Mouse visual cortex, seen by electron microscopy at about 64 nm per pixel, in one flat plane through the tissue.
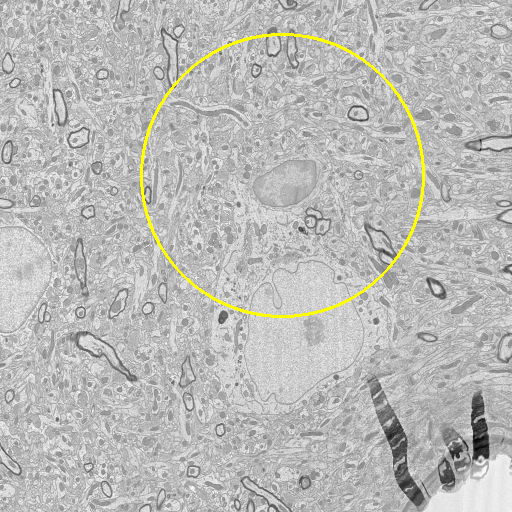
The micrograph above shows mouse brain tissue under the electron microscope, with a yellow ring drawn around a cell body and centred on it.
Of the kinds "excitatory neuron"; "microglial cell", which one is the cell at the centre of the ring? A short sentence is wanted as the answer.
The one at the centre of the ring is a microglial cell.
